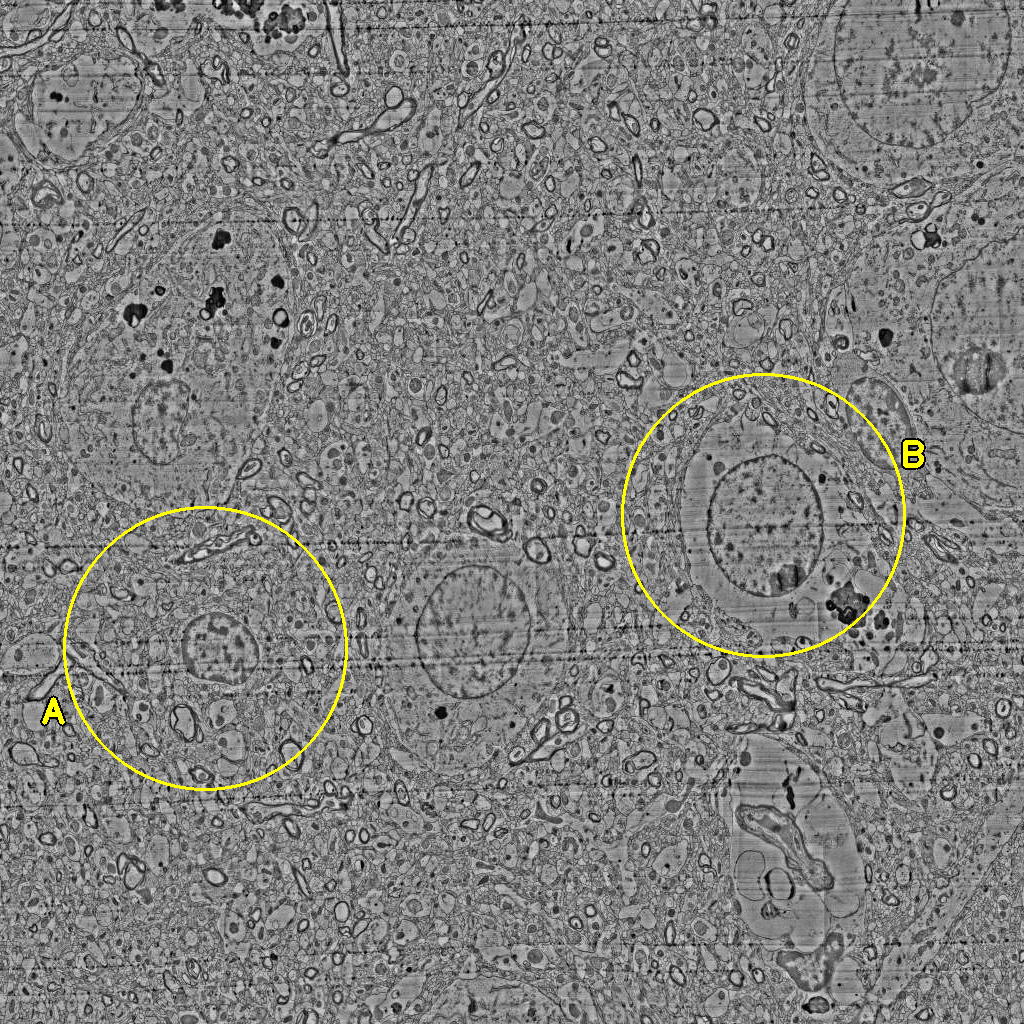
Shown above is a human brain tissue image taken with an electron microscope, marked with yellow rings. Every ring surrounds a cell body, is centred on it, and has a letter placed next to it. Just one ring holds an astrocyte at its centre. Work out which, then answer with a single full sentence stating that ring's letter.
Ring B is the one whose centre holds a cell of that kind.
